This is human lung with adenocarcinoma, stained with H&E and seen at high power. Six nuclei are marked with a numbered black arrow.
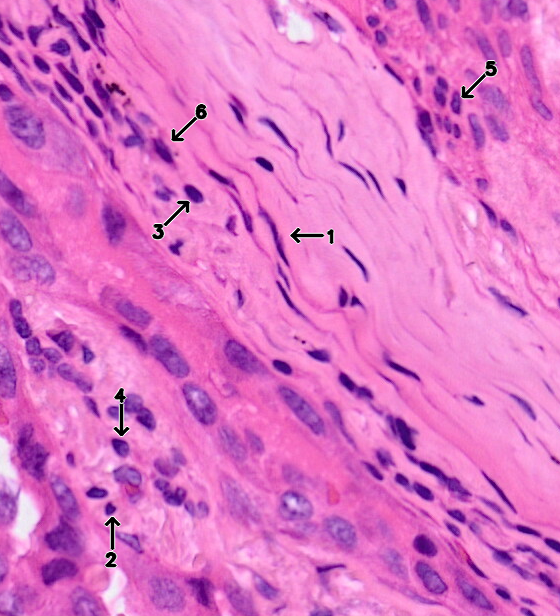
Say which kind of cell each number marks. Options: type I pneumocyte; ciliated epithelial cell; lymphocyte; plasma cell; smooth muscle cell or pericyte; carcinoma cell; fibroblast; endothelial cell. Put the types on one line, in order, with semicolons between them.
endothelial cell; lymphocyte; lymphocyte; lymphocyte; smooth muscle cell or pericyte; plasma cell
